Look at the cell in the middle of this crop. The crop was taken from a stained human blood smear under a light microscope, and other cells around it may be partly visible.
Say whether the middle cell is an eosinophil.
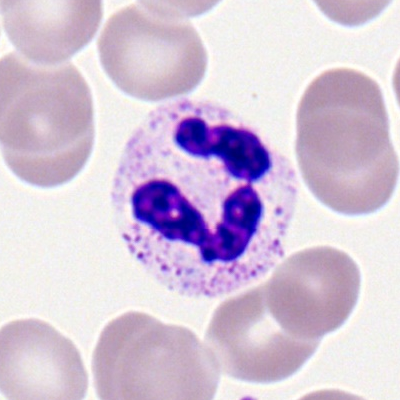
no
